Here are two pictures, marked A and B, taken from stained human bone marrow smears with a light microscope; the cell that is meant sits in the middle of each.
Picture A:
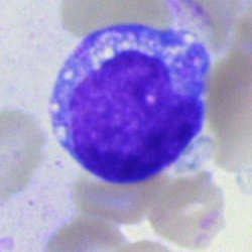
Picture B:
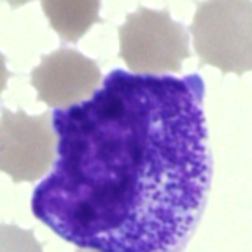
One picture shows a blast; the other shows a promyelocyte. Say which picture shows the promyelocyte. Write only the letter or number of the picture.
B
